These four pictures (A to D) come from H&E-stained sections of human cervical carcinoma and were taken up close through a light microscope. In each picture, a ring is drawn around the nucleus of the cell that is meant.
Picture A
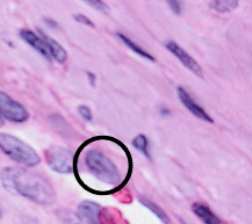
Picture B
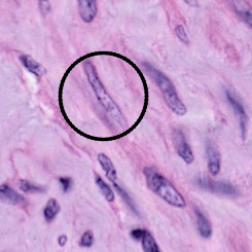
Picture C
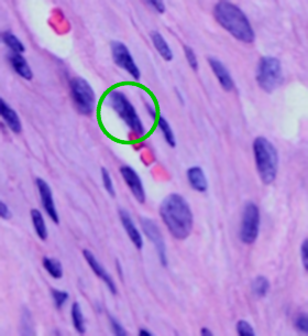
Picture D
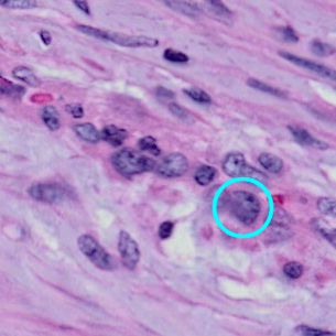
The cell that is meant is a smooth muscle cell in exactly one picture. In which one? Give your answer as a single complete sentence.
It is picture B that shows the smooth muscle cell.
